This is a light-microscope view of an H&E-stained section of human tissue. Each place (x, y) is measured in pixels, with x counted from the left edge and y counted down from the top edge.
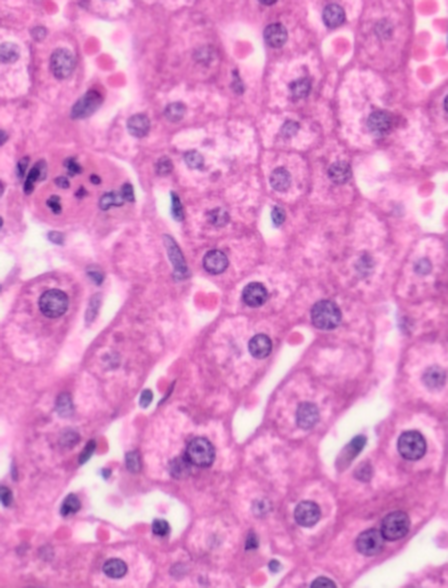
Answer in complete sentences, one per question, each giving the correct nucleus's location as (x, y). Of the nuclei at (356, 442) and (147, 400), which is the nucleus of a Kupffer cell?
Of the two nuclei, that at (356, 442) is the nucleus of a Kupffer cell.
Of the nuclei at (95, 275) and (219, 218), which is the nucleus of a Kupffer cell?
The nucleus at (95, 275) is identified as belonging to a Kupffer cell.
